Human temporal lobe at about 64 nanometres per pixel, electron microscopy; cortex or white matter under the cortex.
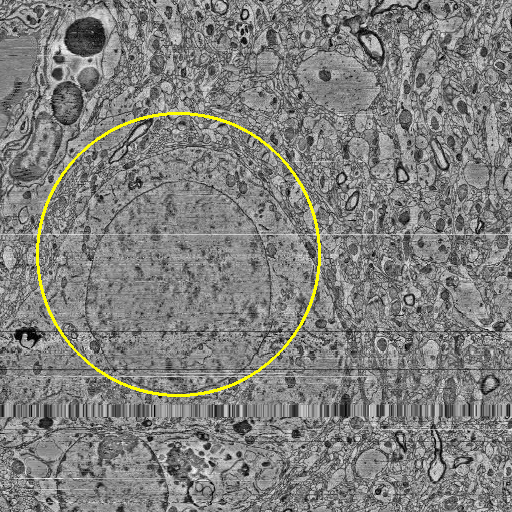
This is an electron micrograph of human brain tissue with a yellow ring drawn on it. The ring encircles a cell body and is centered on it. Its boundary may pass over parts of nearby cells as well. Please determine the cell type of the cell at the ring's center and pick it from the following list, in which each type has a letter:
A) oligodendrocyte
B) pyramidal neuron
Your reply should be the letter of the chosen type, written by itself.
B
